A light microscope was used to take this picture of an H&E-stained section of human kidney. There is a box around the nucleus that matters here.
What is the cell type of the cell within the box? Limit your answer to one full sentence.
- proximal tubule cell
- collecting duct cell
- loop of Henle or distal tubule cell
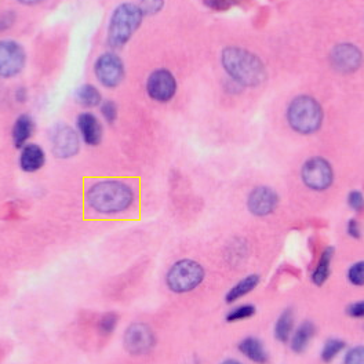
Cytologically, the cell within the box is to be regarded as a proximal tubule cell.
